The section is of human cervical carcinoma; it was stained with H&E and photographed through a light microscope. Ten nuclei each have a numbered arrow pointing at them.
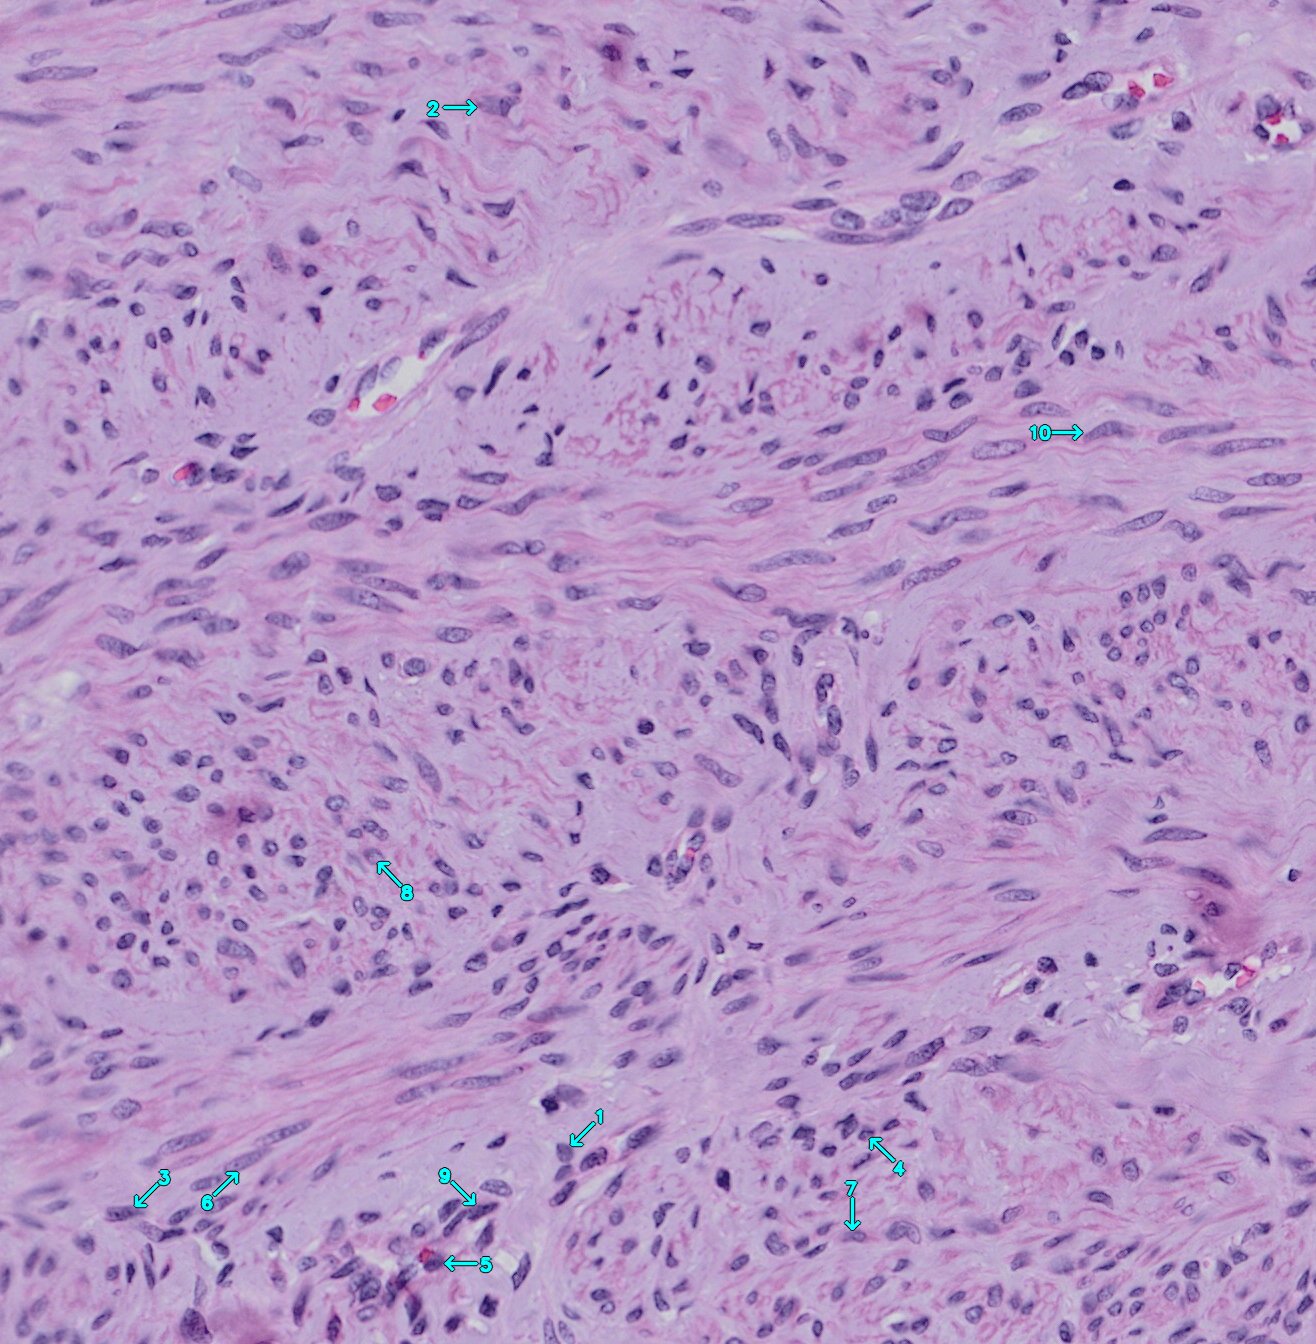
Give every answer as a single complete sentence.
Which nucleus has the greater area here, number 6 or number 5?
Nucleus 6 is larger, with an area about 1.5 times that of nucleus 5.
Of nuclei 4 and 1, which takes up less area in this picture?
Nucleus 4 is the smaller one; nucleus 1 covers about 1.5 times its area.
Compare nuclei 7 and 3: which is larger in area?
The larger nucleus is 3, at roughly 1.5 times the area of 7.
